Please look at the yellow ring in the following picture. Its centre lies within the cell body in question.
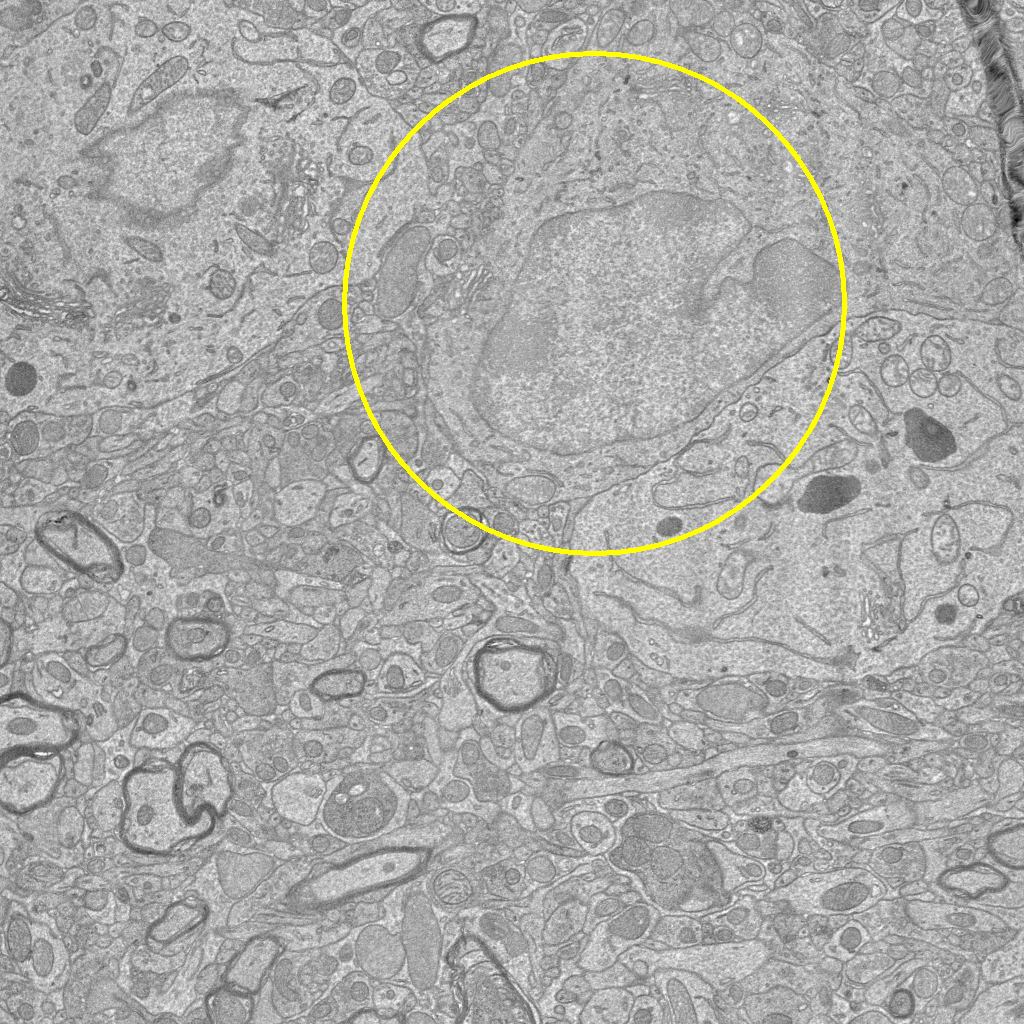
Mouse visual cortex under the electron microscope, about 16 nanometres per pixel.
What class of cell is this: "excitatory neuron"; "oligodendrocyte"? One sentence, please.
The centre of the ring lies in the cell body of an oligodendrocyte.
